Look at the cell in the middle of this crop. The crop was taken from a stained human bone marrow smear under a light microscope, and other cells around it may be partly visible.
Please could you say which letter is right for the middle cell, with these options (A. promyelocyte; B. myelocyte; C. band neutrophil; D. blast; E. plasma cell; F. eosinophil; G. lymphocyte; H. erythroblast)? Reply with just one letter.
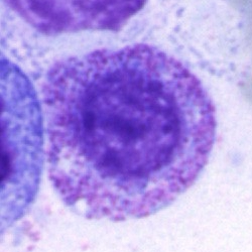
B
